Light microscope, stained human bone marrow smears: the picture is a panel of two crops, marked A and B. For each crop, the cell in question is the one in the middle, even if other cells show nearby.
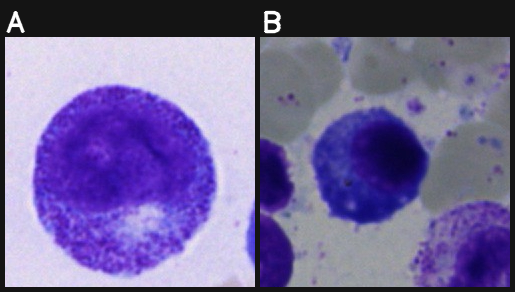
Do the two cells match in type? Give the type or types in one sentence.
No, crop A is to be identified as a promyelocyte and crop B as a plasma cell.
